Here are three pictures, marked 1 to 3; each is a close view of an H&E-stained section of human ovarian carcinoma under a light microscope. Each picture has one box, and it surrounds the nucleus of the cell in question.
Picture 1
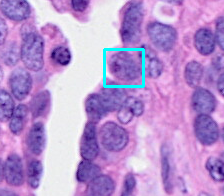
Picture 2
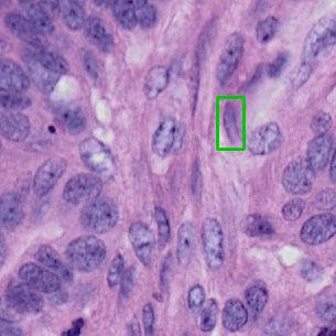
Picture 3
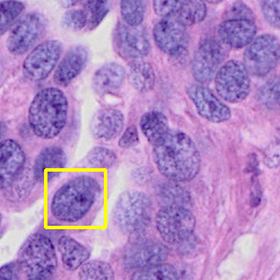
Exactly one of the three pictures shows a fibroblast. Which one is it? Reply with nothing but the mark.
2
